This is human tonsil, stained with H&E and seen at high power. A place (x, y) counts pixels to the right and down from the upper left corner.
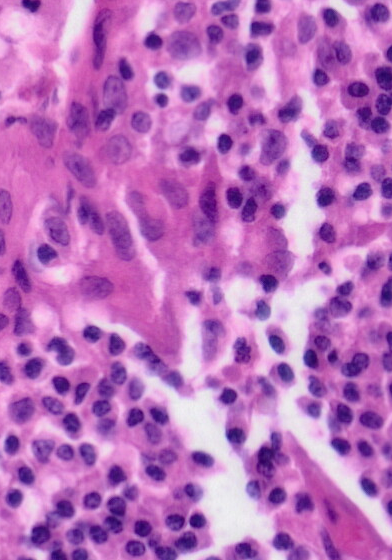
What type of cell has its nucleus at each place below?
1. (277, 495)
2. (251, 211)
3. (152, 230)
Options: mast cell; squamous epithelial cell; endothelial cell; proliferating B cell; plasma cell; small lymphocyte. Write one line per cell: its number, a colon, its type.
1: plasma cell
2: squamous epithelial cell
3: squamous epithelial cell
